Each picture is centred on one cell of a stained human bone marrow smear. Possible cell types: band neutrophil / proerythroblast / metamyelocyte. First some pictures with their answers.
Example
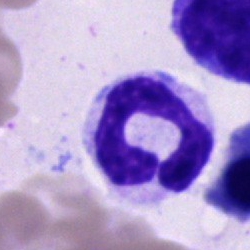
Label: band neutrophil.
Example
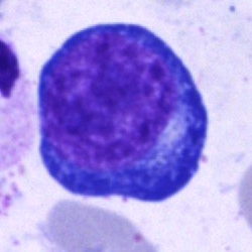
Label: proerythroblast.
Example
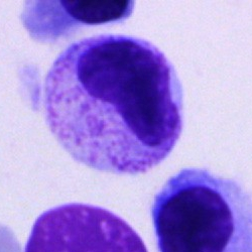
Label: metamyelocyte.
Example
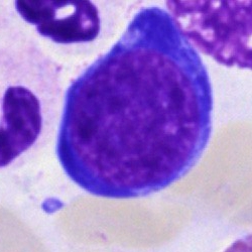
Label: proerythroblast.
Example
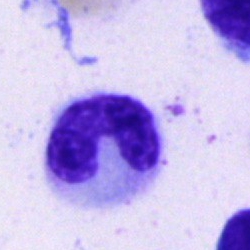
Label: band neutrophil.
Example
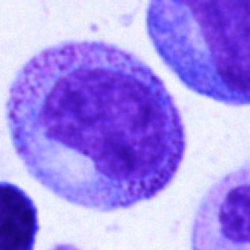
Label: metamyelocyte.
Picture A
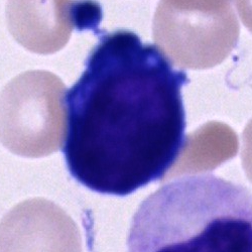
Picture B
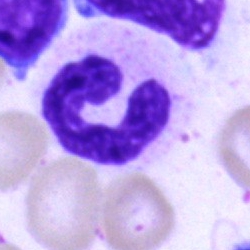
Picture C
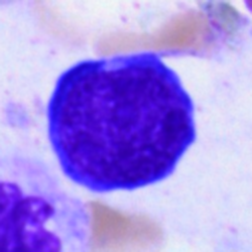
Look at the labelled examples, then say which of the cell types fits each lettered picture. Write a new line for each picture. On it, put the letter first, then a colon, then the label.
A: proerythroblast.
B: band neutrophil.
C: proerythroblast.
